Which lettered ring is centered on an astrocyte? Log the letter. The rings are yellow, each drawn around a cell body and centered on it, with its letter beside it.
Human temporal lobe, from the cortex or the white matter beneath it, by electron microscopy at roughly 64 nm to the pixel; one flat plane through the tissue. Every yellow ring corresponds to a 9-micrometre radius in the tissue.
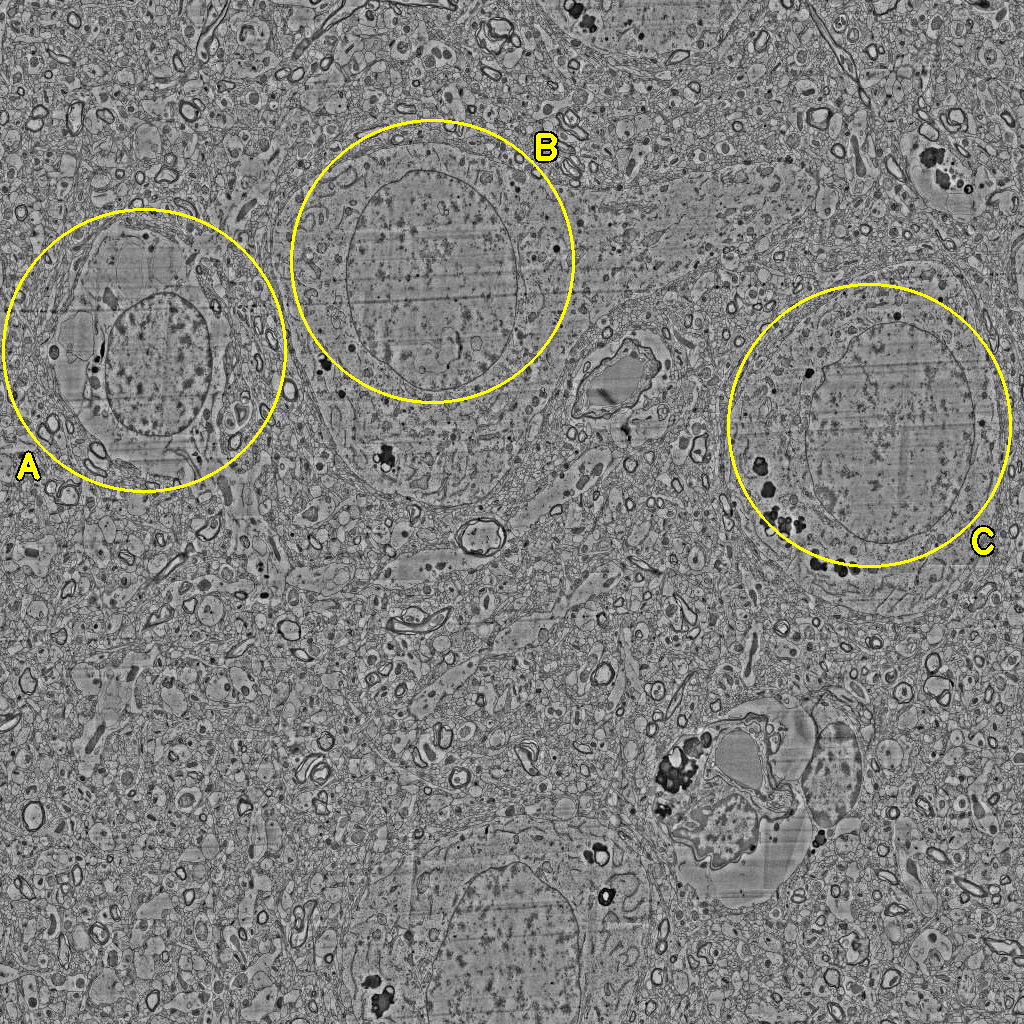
A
